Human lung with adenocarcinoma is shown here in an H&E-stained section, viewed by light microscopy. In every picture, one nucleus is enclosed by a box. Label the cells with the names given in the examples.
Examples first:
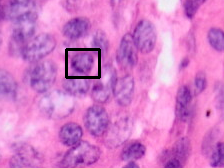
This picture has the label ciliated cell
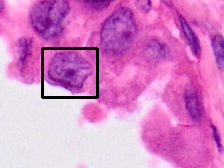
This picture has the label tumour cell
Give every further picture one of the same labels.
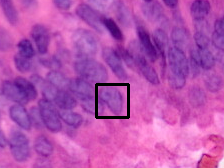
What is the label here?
ciliated cell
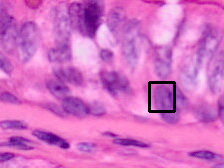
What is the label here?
ciliated cell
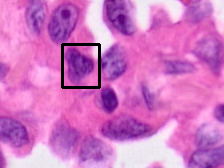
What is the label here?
tumour cell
